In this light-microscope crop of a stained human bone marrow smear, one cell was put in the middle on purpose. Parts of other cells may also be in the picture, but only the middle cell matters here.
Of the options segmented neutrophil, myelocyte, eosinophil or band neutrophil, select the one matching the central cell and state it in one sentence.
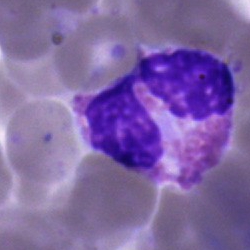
The central element of this crop is a cell, namely an eosinophil.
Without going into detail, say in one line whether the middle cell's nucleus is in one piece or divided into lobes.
Segmentation of the nucleus into two or more lobes is the finding.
